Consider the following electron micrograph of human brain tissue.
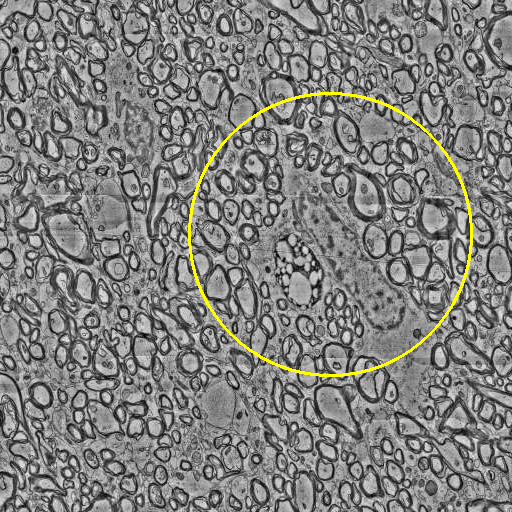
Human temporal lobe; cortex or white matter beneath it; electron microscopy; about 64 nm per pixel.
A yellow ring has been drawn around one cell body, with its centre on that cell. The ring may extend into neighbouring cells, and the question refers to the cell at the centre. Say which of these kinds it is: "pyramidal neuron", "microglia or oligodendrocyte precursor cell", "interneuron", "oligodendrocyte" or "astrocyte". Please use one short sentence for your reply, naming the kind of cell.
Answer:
The centre of the ring falls on an astrocyte.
